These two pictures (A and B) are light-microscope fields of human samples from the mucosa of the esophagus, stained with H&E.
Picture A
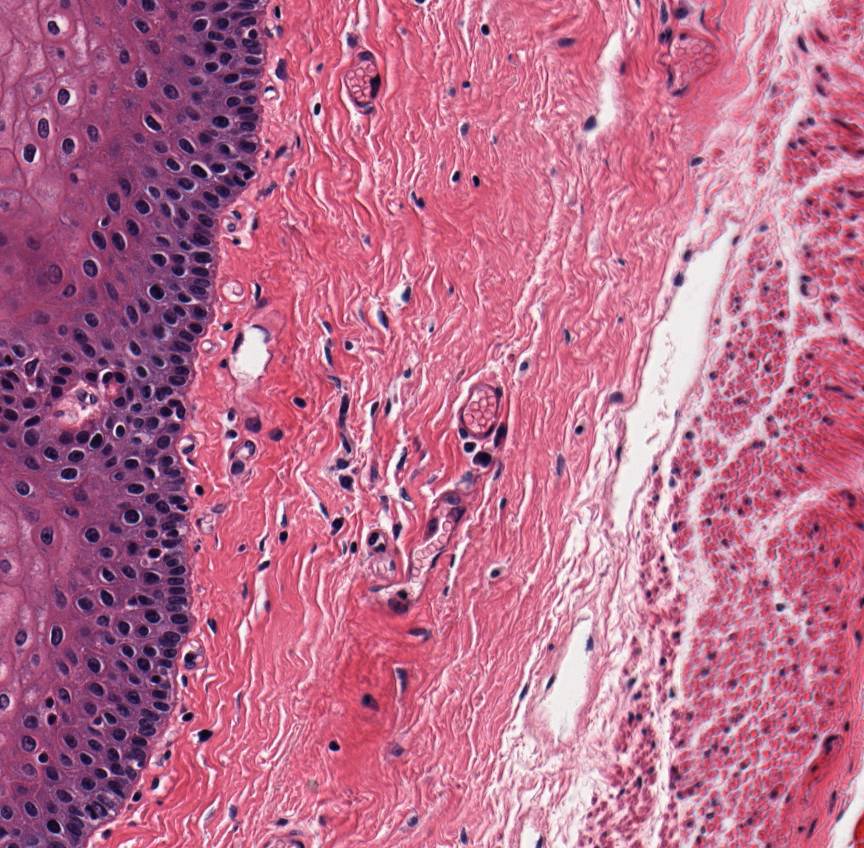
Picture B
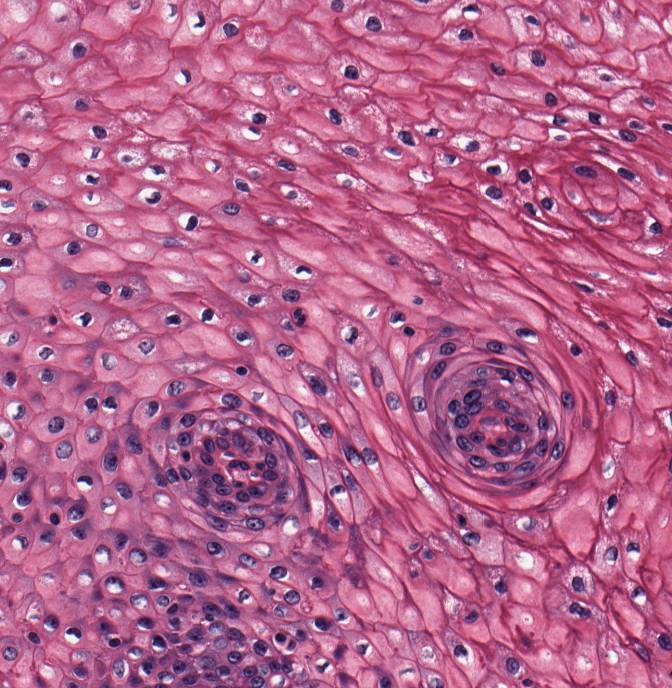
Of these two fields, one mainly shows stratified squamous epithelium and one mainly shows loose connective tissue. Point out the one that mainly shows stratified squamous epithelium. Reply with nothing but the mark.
B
